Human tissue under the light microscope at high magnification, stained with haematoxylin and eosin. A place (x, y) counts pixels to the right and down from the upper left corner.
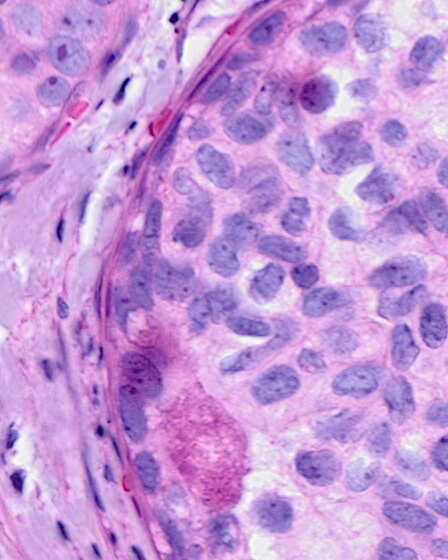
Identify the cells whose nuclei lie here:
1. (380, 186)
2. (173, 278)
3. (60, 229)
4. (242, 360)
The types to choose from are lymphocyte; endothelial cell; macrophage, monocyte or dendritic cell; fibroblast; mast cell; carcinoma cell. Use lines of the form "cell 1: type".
cell 1: carcinoma cell
cell 2: carcinoma cell
cell 3: fibroblast
cell 4: carcinoma cell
